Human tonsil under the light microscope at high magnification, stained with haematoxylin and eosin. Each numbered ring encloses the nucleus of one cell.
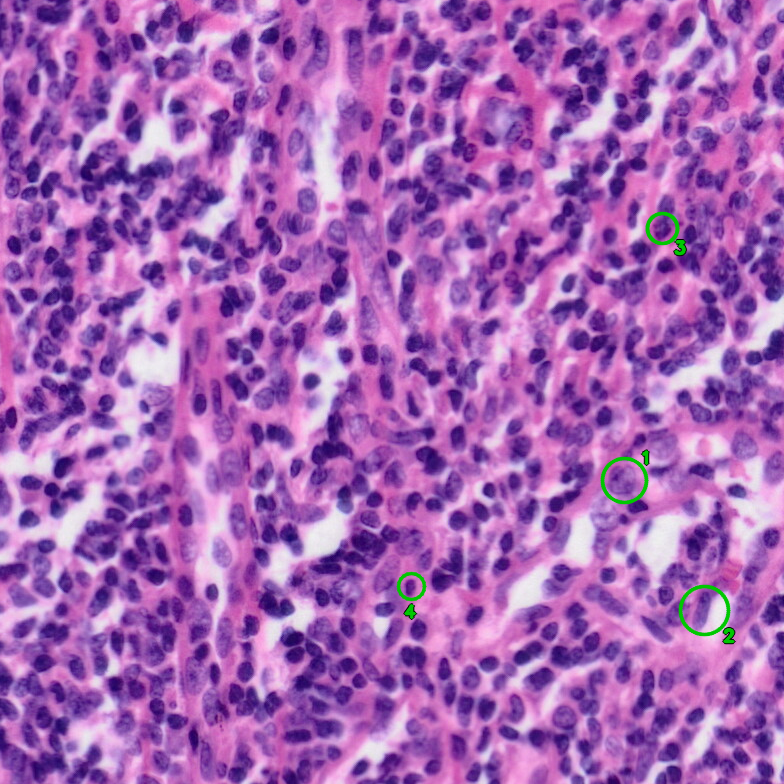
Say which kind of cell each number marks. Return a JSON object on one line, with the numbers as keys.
{"1": "endothelial cell", "2": "endothelial cell", "3": "plasma cell", "4": "endothelial cell"}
